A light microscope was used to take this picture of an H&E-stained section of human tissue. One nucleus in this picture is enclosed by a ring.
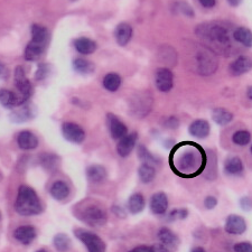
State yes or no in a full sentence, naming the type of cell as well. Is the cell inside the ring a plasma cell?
Yes, a plasma cell is the correct identification for the cell inside the ring.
